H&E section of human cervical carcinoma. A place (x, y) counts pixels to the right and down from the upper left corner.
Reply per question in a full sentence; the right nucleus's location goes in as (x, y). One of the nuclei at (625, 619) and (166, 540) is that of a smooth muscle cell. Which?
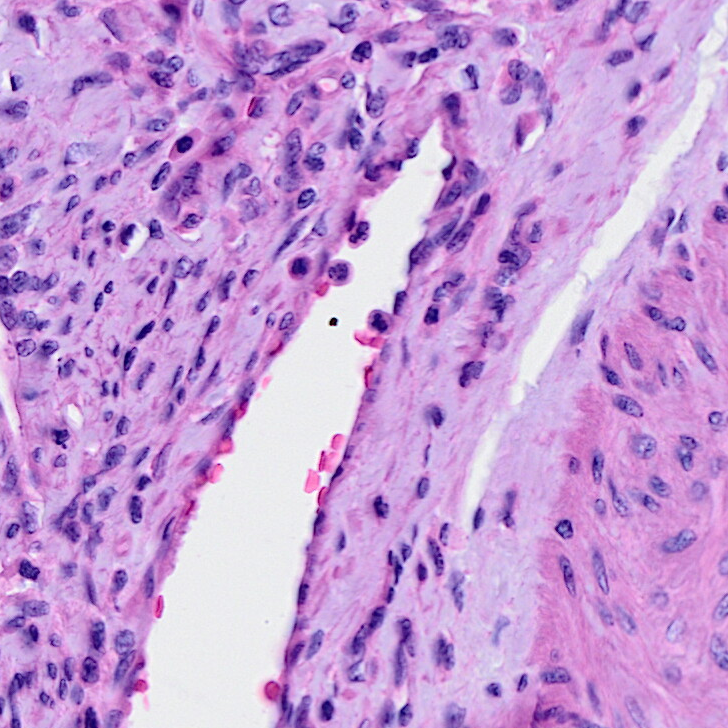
The nucleus of the pair that lies within a smooth muscle cell is at (625, 619).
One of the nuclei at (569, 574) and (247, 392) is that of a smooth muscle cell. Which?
Of the two nuclei, that at (569, 574) is the nucleus of a smooth muscle cell.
